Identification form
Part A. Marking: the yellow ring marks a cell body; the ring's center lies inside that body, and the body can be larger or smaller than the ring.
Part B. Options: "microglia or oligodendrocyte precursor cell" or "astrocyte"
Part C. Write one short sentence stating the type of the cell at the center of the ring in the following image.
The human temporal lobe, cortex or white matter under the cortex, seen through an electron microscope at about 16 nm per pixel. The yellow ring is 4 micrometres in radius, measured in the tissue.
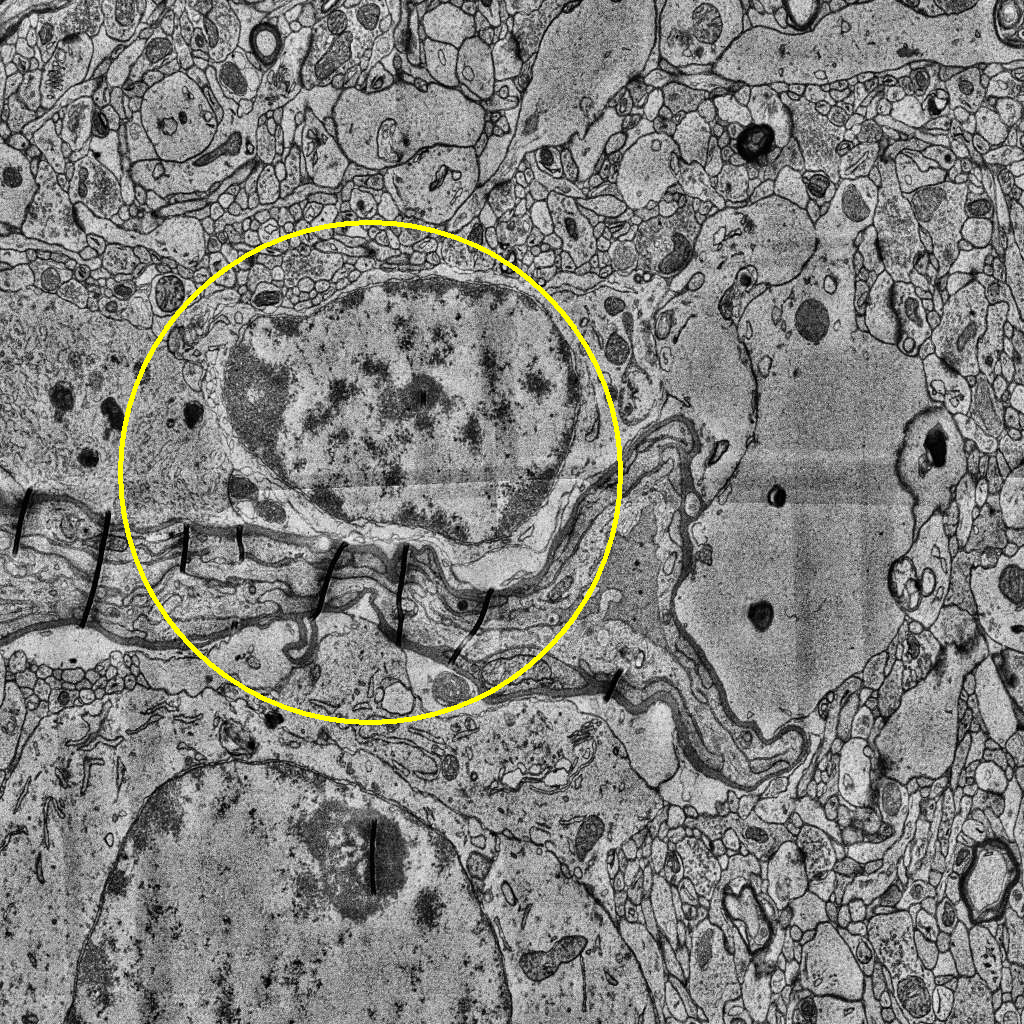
The center of the ring holds a microglial cell or oligodendrocyte precursor cell.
